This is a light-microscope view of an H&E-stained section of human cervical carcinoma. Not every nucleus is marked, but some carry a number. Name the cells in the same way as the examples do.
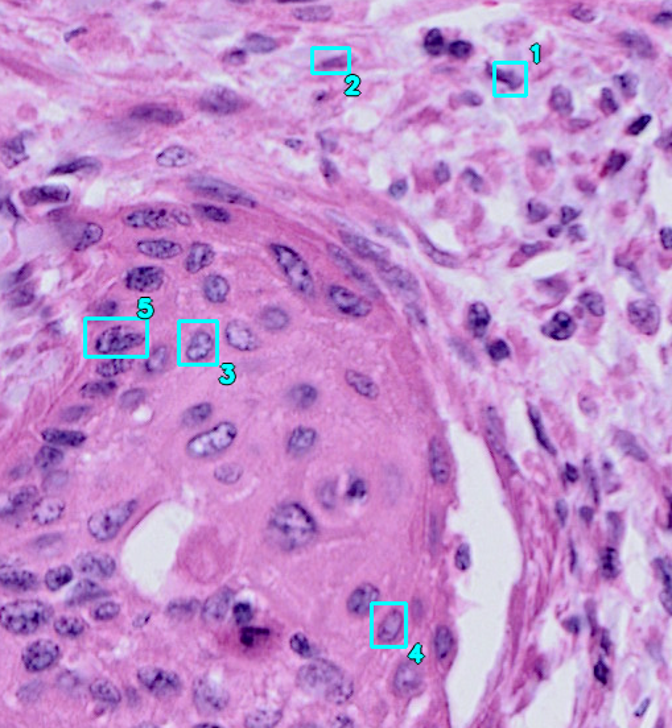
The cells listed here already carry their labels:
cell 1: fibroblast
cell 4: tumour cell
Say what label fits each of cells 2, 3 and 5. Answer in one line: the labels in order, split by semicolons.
fibroblast; tumour cell; tumour cell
